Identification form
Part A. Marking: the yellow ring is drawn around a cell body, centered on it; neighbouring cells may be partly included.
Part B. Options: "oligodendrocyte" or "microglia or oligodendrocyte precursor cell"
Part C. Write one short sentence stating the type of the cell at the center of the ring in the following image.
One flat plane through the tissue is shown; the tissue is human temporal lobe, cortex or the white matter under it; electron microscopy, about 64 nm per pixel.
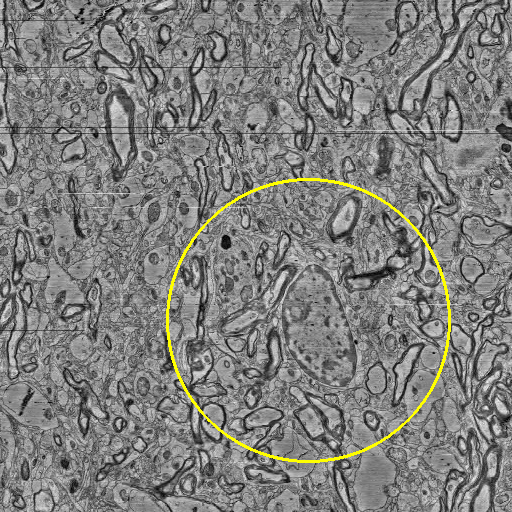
The center of the ring holds a microglial cell or oligodendrocyte precursor cell.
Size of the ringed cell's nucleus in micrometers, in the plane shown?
In this plane the nucleus is clearly longer than it is wide: roughly 8 by 4 micrometres.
